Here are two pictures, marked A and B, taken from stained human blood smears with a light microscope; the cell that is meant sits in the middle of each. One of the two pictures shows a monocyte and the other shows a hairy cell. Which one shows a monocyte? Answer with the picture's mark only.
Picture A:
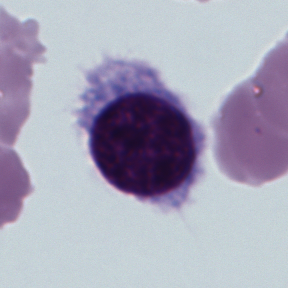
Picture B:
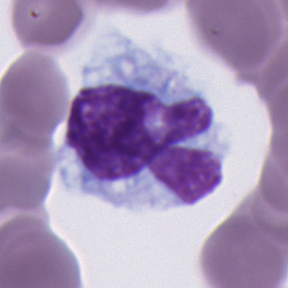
B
